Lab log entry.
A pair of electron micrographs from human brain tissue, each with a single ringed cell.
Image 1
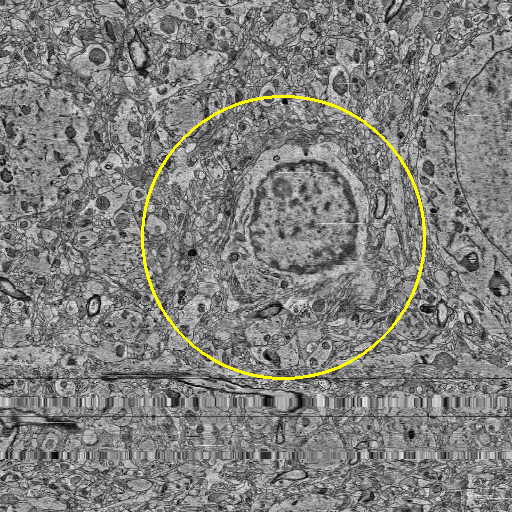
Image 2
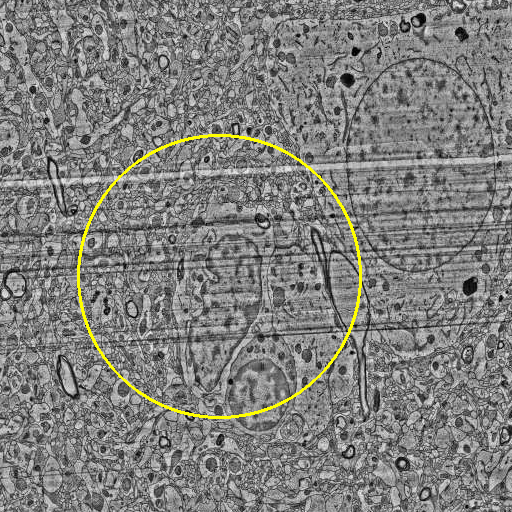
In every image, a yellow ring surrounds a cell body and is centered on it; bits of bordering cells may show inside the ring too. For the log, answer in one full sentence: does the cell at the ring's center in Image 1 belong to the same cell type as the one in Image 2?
Yes, the cells at the ring centers in Image 1 and Image 2 share one type.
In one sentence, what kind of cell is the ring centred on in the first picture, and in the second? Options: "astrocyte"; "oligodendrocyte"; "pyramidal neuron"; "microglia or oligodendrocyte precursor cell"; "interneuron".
In the first picture and in the second, the ring is centred on a microglial cell or oligodendrocyte precursor cell.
